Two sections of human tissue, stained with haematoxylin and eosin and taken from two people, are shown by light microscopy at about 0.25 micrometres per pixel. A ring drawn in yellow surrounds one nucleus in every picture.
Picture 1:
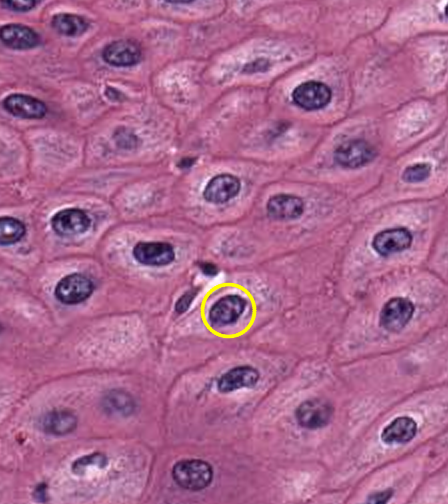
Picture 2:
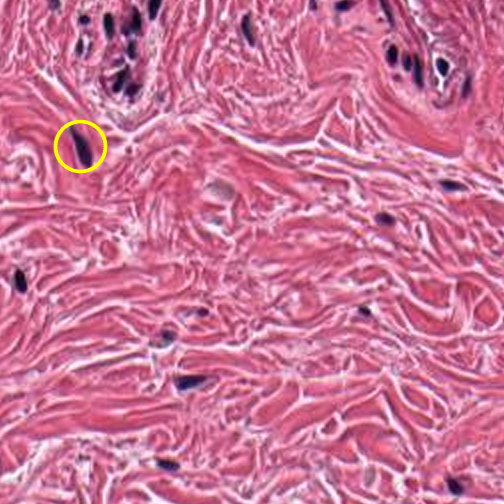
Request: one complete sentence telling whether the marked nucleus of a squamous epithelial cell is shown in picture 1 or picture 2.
What the marked nucleus in picture 1 belongs to is a squamous epithelial cell.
